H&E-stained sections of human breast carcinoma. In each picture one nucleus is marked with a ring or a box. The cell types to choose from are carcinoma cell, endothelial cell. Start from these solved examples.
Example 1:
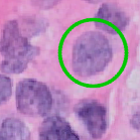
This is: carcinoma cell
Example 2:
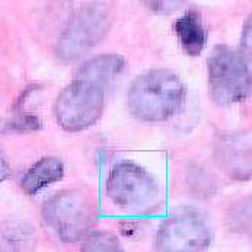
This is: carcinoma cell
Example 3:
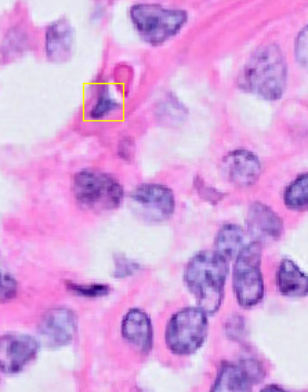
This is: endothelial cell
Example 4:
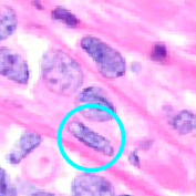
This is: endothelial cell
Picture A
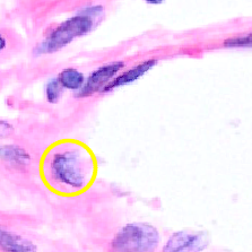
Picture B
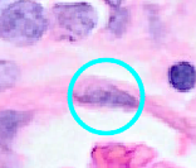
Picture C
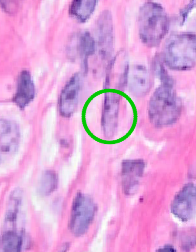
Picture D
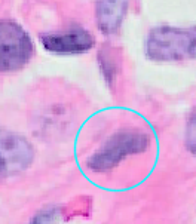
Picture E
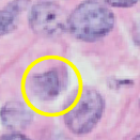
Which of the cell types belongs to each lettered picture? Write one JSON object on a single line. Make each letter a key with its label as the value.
{"A": "endothelial cell", "B": "endothelial cell", "C": "endothelial cell", "D": "endothelial cell", "E": "carcinoma cell"}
